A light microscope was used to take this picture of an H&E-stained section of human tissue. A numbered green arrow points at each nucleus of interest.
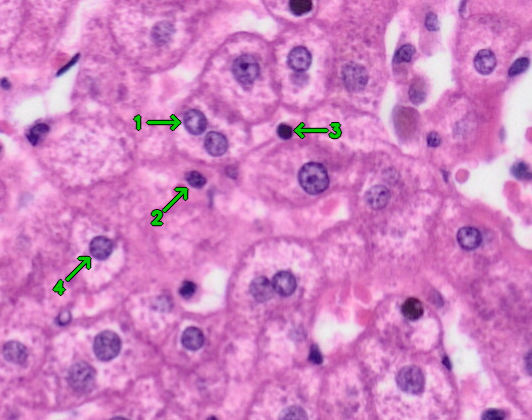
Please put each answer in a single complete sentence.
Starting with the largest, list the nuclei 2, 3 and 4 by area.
Largest first, the order by area is 4, 2, 3.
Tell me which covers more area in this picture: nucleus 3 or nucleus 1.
Of the two, number 1 is bigger and takes up about 2.5 times the area of number 3.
